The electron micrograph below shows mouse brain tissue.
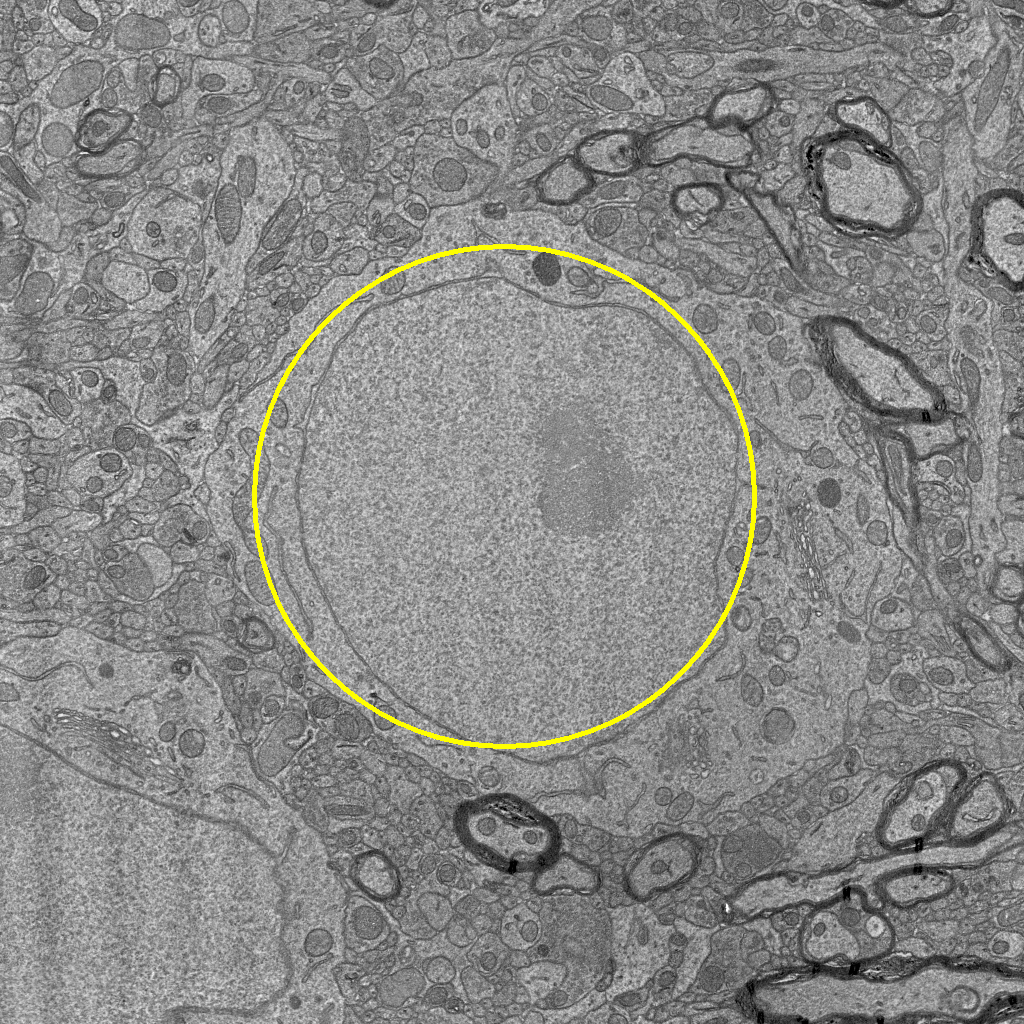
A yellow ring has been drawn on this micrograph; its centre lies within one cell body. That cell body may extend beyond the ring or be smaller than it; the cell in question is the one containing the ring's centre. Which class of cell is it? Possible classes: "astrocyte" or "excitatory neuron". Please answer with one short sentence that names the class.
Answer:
In the centre of the ring sits an excitatory neuron.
